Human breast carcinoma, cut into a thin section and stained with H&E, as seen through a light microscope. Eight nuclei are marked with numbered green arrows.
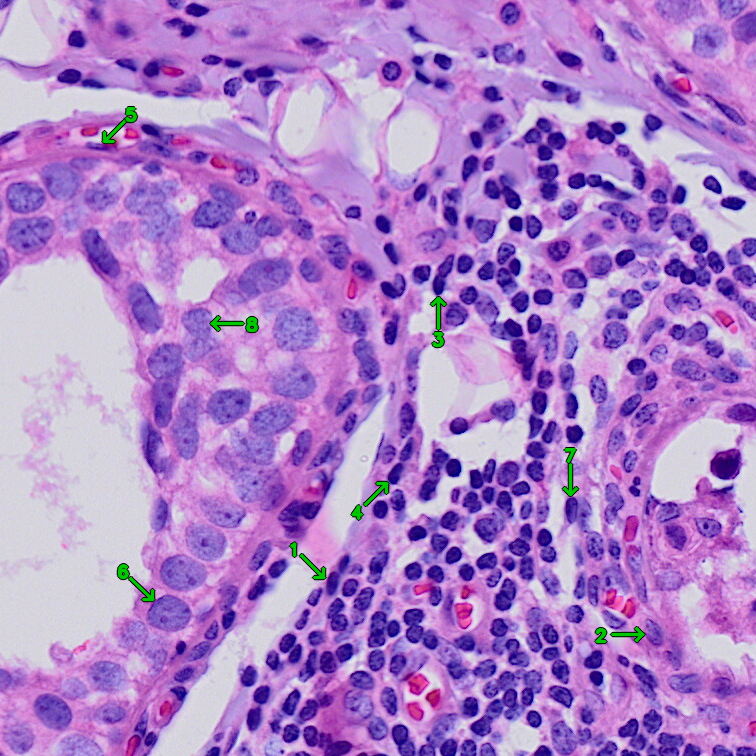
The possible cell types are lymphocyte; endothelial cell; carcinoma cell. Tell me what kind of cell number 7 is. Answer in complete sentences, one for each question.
The cell that goes by number 7 is a lymphocyte.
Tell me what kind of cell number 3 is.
The cell numbered 3 has been identified as a lymphocyte.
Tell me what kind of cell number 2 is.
The cell bearing label 2 corresponds to an endothelial cell.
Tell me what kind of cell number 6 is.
The cell numbered 6 has been identified as a carcinoma cell.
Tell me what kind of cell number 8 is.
The cell pointed out as number 8 is a carcinoma cell.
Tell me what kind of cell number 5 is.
The cell assigned the number 5 is an endothelial cell.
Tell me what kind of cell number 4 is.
The cell identified by the number 4 is a lymphocyte.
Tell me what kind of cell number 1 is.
The cell pointed out by number 1 is a lymphocyte.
